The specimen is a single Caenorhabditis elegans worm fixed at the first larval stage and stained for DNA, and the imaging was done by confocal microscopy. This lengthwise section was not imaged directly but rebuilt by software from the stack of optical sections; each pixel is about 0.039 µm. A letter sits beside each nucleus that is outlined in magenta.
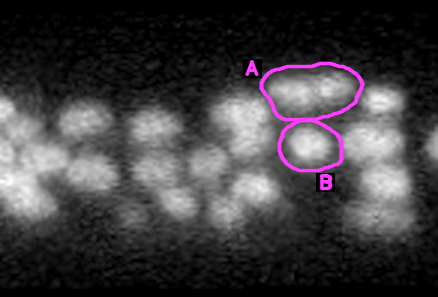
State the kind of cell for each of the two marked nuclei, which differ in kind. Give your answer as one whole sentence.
A is in a body wall muscle cell and B is in a neuron.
